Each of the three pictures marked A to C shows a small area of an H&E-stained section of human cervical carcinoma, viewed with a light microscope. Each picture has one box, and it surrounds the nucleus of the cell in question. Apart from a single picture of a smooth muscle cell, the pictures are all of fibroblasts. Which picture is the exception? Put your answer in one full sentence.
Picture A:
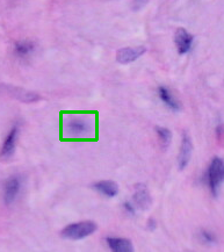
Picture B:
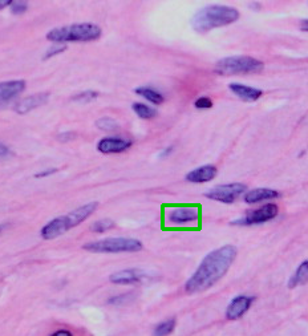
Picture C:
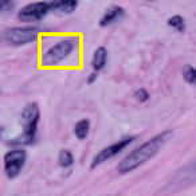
Picture C is the one that shows the smooth muscle cell.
